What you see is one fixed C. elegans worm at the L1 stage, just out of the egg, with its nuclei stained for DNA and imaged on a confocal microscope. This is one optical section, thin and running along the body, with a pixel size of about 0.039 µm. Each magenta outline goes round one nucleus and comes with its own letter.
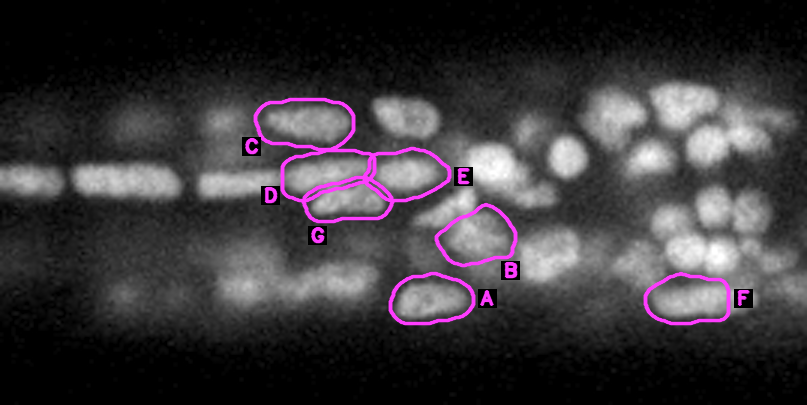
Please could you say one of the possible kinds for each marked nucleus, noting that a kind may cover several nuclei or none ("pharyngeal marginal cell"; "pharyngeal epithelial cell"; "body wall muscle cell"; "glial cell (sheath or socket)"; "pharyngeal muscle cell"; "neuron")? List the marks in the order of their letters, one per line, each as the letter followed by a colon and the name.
A: body wall muscle cell
B: pharyngeal marginal cell
C: body wall muscle cell
D: pharyngeal epithelial cell
E: neuron
F: body wall muscle cell
G: pharyngeal muscle cell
